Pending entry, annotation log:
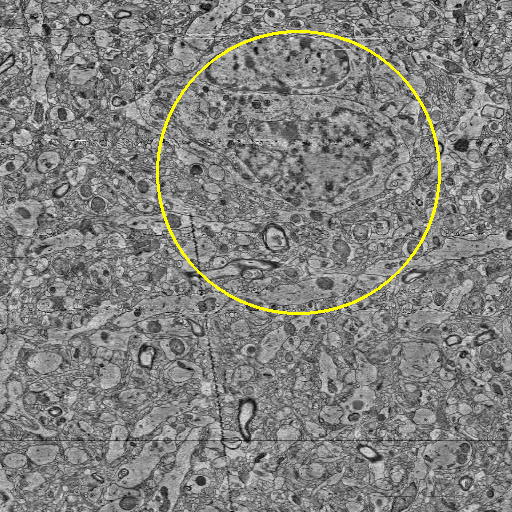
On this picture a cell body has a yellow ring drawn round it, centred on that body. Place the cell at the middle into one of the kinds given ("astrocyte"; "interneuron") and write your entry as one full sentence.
The cell body at the middle of the yellow ring belongs to an interneuron.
